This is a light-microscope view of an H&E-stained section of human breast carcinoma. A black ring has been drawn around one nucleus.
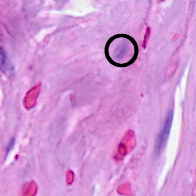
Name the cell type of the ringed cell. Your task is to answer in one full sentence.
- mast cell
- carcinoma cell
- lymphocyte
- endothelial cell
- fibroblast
It is as a fibroblast that the ringed cell is classified.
